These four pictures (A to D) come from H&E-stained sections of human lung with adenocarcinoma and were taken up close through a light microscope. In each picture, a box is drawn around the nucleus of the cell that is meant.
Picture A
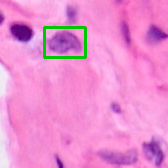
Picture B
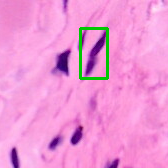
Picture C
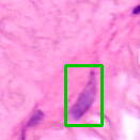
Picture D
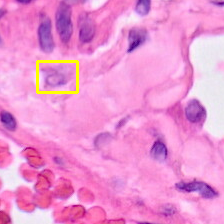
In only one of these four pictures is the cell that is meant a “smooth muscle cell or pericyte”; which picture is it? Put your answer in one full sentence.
Picture C is the one that shows the “smooth muscle cell or pericyte”.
